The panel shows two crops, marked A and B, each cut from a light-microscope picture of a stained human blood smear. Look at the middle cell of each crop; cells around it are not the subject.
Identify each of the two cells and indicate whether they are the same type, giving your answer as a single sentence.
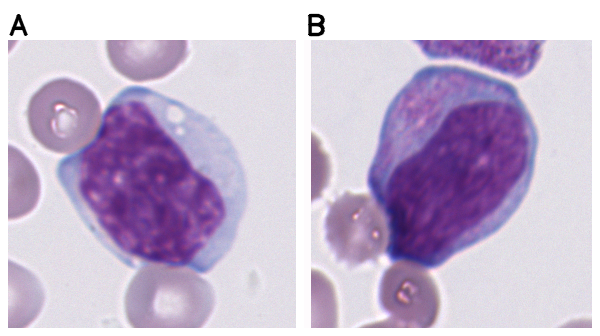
No; crop A is a myeloblast, while crop B is an atypical promyelocyte.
